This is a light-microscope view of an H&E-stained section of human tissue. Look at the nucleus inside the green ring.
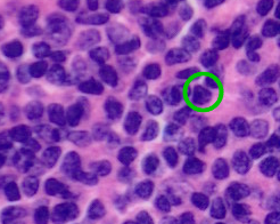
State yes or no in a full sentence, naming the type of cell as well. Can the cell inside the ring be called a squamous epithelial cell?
No, far from being a squamous epithelial cell, the cell inside the ring is a small lymphocyte.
